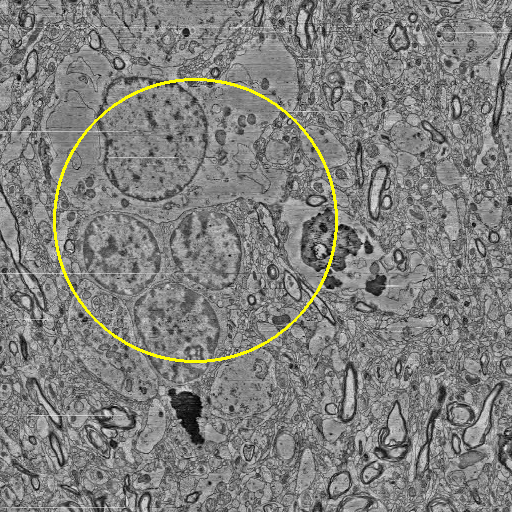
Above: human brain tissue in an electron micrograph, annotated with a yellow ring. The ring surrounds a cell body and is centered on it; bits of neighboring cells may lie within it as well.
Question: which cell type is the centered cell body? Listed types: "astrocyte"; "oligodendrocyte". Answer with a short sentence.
The centered cell body is an oligodendrocyte.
